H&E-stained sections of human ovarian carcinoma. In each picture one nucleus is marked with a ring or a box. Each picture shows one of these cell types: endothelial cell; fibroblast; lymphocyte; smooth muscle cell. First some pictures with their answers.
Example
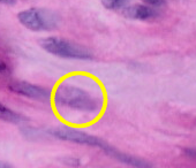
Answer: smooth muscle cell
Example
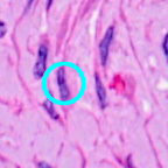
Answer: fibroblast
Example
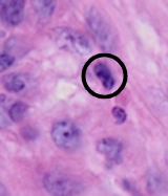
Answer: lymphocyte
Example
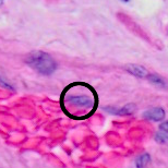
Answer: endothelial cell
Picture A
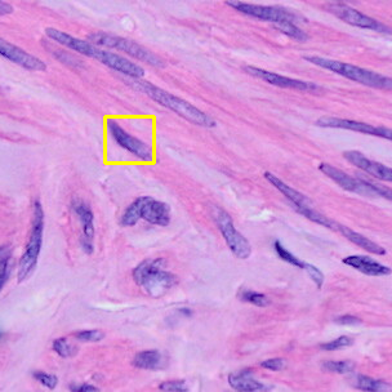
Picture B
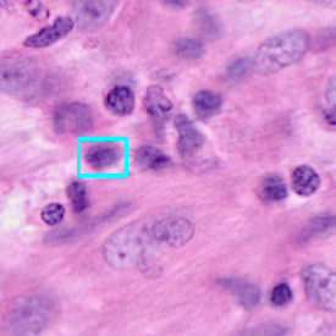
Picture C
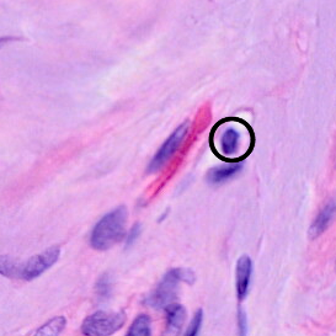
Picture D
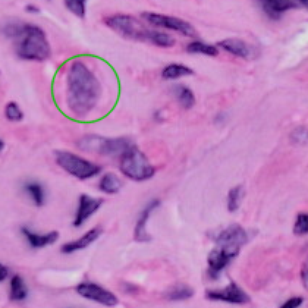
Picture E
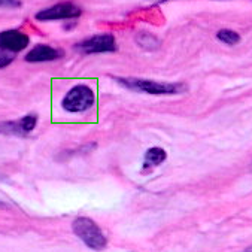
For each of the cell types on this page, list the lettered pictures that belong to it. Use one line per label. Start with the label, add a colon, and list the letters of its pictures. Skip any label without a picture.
endothelial cell: D
lymphocyte: B, C, E
smooth muscle cell: A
